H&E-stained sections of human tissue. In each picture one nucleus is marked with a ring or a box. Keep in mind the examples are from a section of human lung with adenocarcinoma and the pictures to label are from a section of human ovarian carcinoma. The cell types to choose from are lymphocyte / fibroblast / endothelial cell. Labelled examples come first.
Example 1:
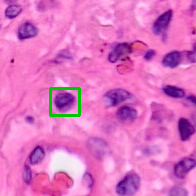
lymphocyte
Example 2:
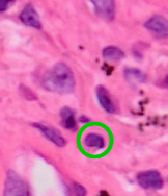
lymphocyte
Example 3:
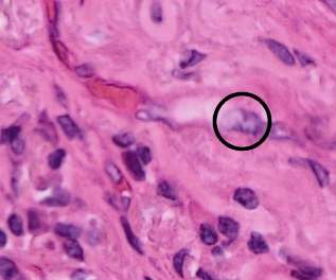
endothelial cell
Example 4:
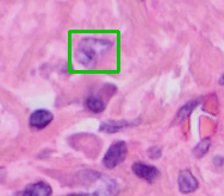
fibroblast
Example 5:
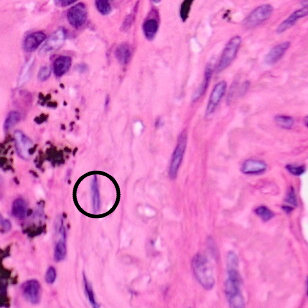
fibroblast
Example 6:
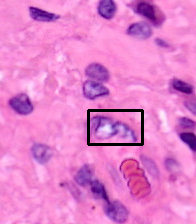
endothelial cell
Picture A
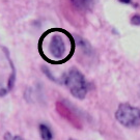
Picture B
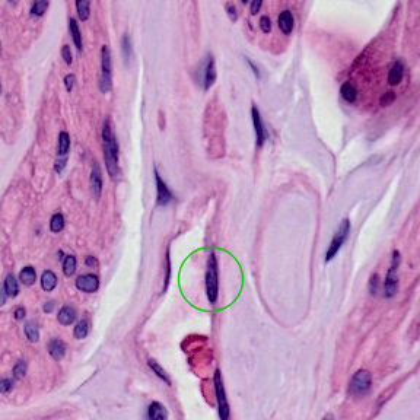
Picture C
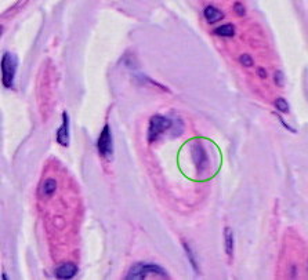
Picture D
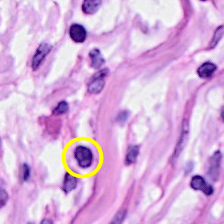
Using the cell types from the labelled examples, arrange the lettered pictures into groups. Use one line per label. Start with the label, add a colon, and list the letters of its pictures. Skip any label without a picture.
lymphocyte: A, D
endothelial cell: B, C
